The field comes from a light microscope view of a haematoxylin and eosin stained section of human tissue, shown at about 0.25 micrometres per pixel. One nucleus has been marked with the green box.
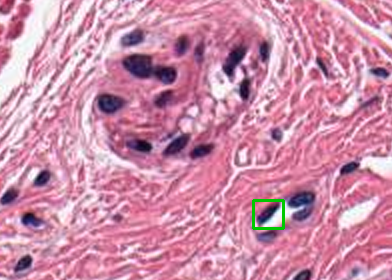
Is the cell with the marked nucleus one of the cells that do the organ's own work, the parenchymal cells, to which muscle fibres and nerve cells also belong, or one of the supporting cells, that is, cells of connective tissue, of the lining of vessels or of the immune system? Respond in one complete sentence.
The marked nucleus is held by a supporting cell.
